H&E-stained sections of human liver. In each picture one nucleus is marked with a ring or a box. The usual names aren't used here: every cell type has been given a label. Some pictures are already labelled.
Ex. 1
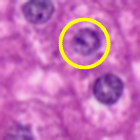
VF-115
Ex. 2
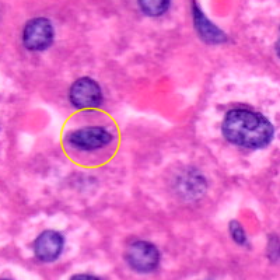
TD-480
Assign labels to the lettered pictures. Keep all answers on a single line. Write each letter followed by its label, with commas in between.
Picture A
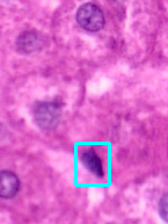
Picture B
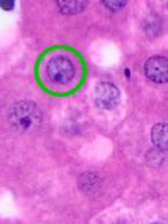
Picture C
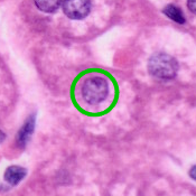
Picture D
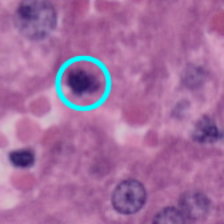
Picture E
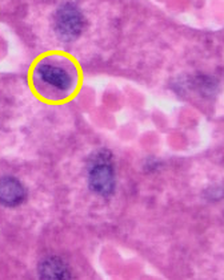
A TD-480, B VF-115, C VF-115, D TD-480, E TD-480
